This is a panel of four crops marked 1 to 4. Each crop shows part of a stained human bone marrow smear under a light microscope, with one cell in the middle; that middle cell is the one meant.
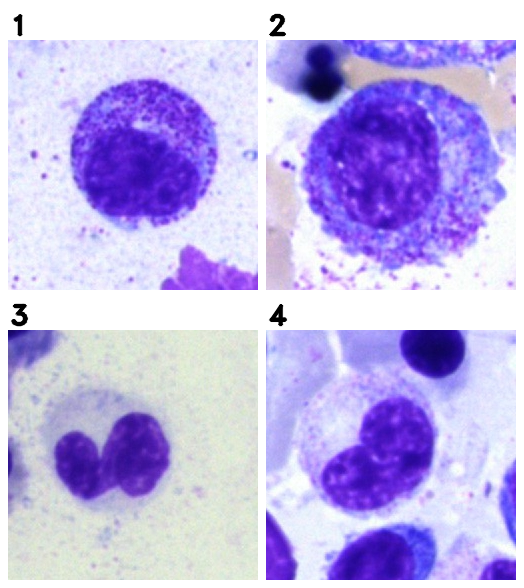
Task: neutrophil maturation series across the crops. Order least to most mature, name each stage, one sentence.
From earliest stage to latest stage, the sequence is crop 2 (a promyelocyte), crop 1 (a myelocyte), crop 4 (a band neutrophil) and crop 3 (a segmented neutrophil).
